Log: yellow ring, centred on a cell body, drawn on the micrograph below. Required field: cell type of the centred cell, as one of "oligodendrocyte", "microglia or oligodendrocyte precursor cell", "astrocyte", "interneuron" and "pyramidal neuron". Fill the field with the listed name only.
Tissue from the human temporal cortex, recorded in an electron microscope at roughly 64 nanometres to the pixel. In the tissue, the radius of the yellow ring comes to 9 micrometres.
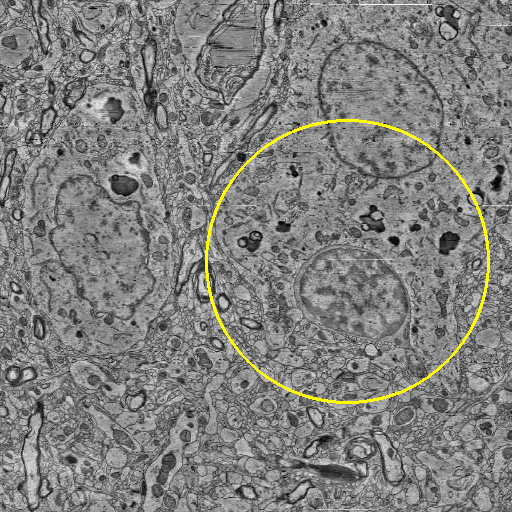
oligodendrocyte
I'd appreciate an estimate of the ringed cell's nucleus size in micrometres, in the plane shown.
In this plane, approximately 7 by 5 micrometers.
